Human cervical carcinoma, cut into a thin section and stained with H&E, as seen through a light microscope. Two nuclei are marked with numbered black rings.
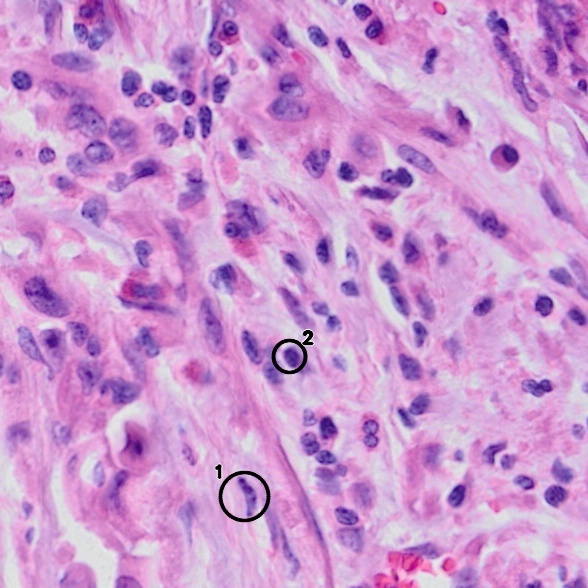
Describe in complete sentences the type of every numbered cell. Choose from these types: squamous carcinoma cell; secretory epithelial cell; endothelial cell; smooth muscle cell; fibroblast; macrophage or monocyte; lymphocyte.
Cell 1 is a fibroblast and cell 2 is a lymphocyte.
